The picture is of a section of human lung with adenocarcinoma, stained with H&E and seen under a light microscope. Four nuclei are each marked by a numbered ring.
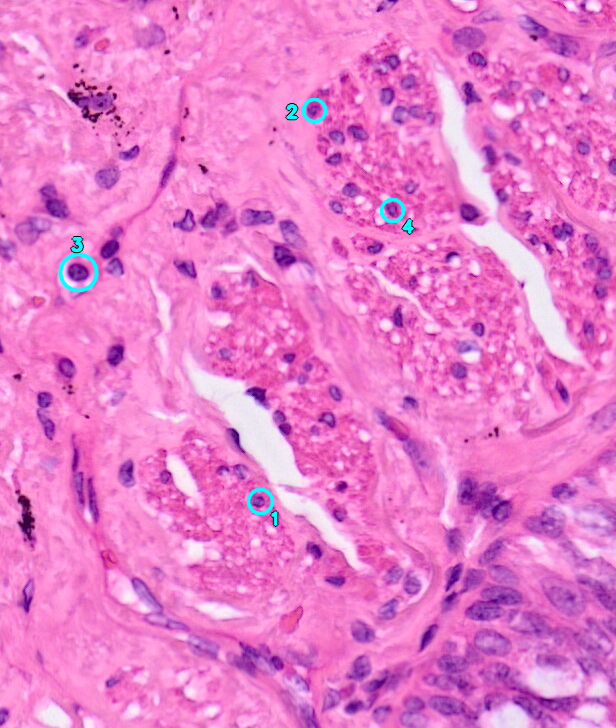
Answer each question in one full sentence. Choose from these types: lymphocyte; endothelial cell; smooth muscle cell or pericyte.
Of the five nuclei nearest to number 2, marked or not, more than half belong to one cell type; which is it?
Smooth muscle cells or pericytes make up most of the five nuclei closest to number 2.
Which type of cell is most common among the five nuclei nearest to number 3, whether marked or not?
Of the five nuclei nearest to number 3, most belong to endothelial cells.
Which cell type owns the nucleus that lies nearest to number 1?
It is a smooth muscle cell or pericyte whose nucleus is nearest to number 1.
